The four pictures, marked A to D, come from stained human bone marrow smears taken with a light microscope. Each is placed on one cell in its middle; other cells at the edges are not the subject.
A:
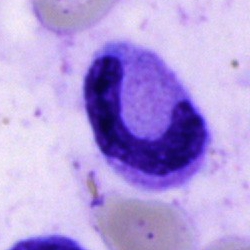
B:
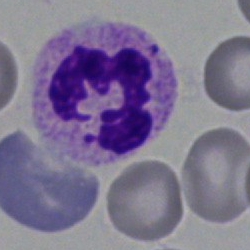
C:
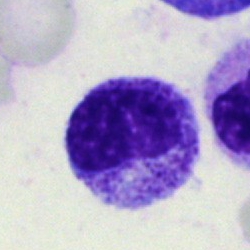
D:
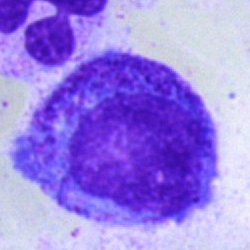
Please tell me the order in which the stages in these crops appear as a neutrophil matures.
D, C, A, B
